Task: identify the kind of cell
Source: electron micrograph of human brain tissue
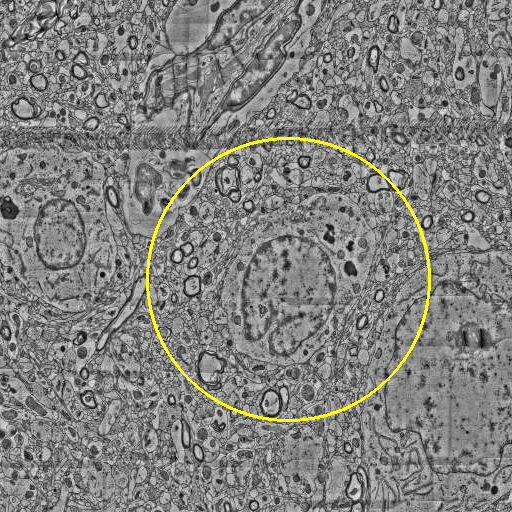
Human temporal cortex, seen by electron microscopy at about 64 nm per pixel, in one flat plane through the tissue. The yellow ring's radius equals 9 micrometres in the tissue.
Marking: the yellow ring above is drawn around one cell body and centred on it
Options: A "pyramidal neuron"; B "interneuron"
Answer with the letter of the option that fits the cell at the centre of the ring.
B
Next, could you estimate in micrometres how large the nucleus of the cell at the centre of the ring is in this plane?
In this plane, about 8 micrometres in length and 6 in width.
